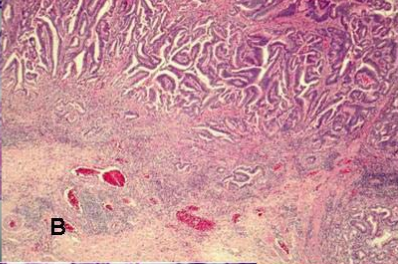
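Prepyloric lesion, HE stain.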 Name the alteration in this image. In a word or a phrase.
papillary adenocarcinoma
